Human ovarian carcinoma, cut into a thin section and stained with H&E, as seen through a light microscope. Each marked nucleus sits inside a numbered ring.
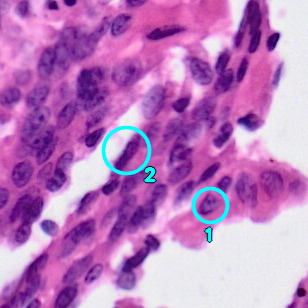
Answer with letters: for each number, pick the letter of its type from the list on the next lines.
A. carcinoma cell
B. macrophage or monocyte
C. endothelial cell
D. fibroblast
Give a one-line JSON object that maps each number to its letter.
{"1": "C", "2": "A"}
